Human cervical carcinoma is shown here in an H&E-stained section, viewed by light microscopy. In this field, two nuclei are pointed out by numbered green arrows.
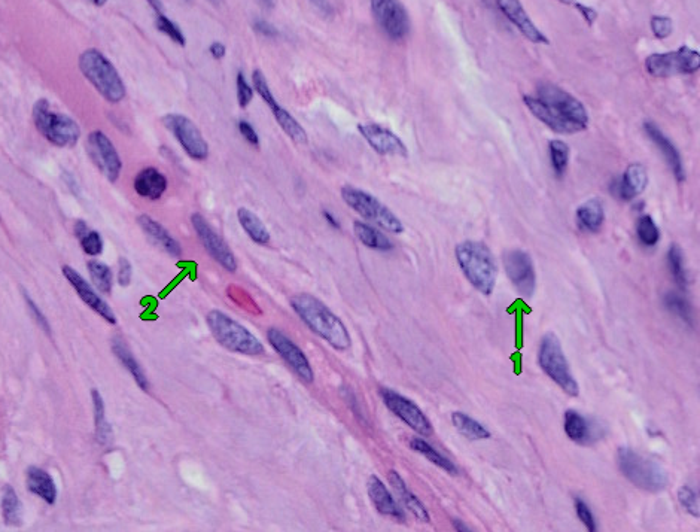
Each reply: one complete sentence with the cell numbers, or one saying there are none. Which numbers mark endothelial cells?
Among the numbered cells, cell 2 alone is an endothelial cell.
